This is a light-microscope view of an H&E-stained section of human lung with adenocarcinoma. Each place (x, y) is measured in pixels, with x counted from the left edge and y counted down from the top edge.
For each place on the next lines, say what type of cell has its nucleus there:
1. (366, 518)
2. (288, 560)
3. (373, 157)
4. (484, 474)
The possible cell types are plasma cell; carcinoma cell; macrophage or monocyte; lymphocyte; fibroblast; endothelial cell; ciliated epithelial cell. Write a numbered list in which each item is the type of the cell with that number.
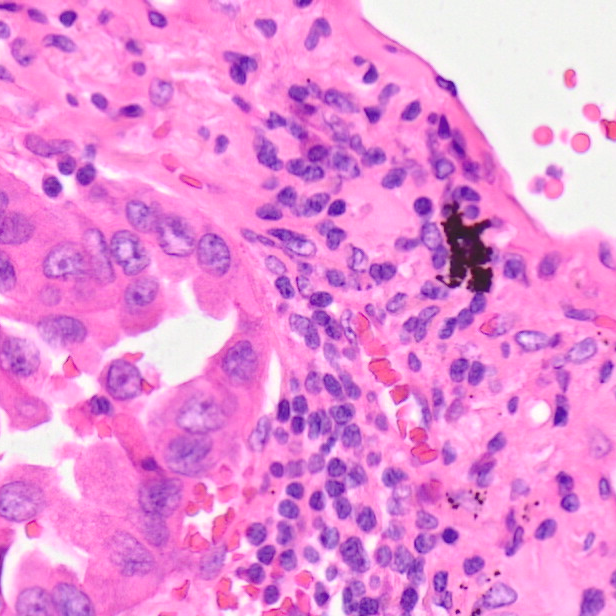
1. lymphocyte
2. lymphocyte
3. lymphocyte
4. plasma cell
